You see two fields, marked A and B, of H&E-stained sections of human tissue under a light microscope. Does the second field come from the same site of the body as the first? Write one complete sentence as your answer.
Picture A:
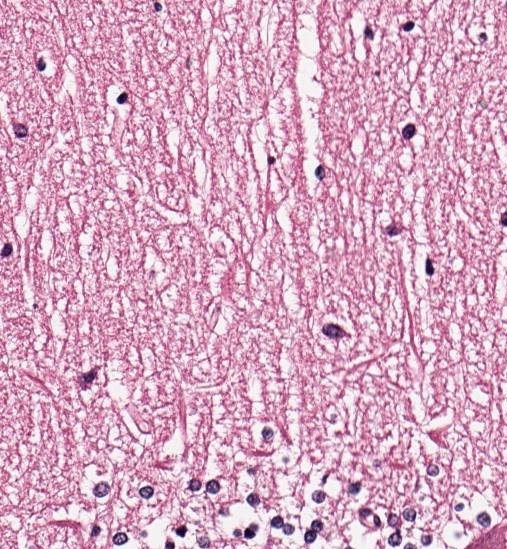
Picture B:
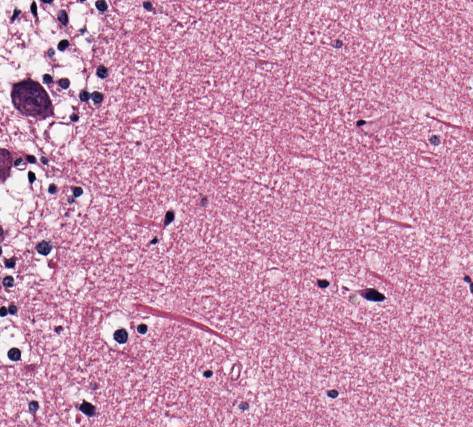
Yes, both come from the cerebellum.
